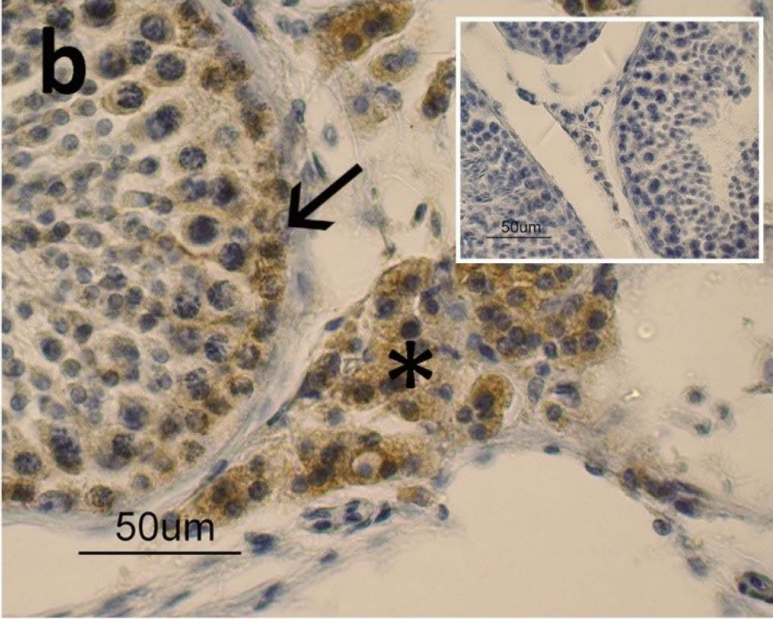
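A seminiferous tubule of testis and the interstitial connective tissue beside it are seen. Within the tubule, many round germ cells with blue nuclei sit in a faintly brown cytoplasm, and the brown is strongest along the outer rim next to the tubule wall. In the interstitium lies a cluster of large polygonal cells with round nuclei and abundant brown-stained cytoplasm.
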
